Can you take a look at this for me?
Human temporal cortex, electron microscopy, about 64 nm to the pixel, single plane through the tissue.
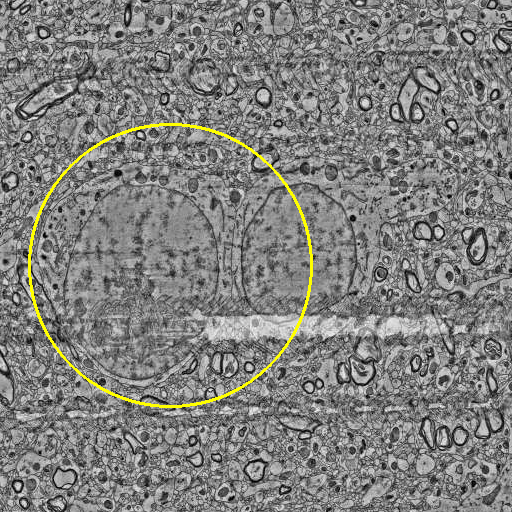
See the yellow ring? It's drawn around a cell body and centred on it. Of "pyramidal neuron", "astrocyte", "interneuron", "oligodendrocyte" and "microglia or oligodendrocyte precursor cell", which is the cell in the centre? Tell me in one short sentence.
The one in the centre is a pyramidal neuron.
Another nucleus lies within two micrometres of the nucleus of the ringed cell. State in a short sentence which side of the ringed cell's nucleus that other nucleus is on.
That nucleus lies to the right of it.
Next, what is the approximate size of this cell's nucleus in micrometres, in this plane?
The nucleus measures about 13 by 10 micrometres in this plane.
